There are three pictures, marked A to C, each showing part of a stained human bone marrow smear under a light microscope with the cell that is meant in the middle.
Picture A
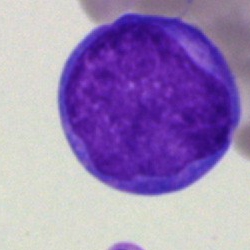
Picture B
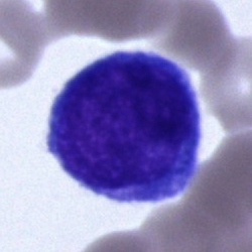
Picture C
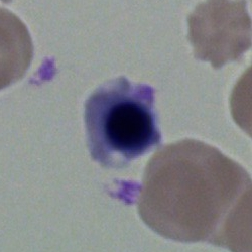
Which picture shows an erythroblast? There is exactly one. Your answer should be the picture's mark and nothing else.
C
